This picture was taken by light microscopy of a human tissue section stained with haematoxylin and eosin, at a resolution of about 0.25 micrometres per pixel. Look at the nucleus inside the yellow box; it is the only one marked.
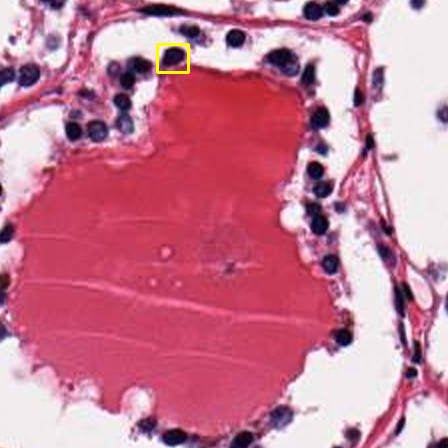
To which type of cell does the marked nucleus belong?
thyroid follicular cell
